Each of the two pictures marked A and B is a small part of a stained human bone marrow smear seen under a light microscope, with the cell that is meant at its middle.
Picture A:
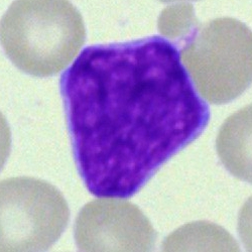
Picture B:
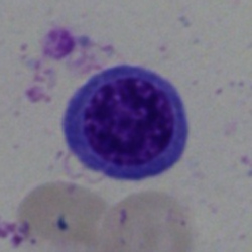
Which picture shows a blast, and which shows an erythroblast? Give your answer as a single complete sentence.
Picture B shows an erythroblast, while picture A shows a blast.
